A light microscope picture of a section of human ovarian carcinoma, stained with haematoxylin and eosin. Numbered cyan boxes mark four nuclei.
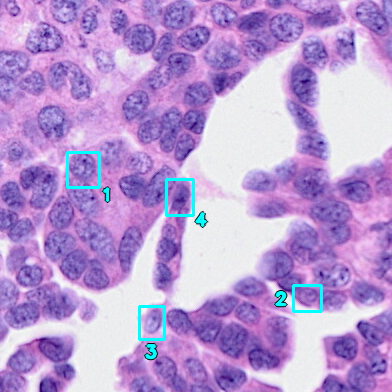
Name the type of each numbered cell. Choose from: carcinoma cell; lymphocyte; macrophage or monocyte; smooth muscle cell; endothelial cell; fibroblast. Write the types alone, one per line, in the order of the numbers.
carcinoma cell
carcinoma cell
macrophage or monocyte
carcinoma cell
